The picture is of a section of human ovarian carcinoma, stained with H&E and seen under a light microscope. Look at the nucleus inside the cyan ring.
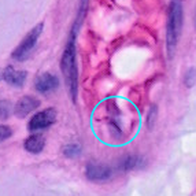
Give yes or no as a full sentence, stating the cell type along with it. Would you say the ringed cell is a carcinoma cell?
No, the ringed cell is an endothelial cell, and it is not a carcinoma cell.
